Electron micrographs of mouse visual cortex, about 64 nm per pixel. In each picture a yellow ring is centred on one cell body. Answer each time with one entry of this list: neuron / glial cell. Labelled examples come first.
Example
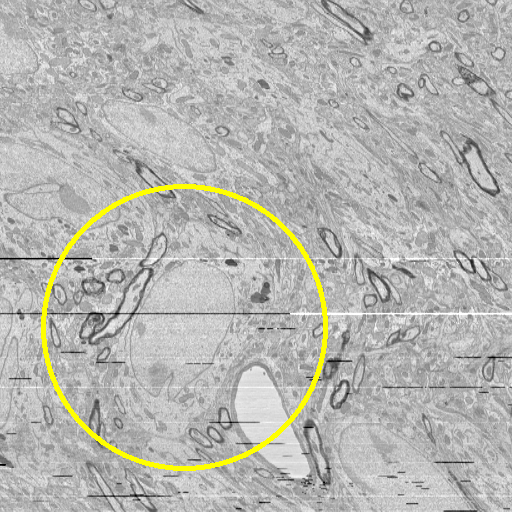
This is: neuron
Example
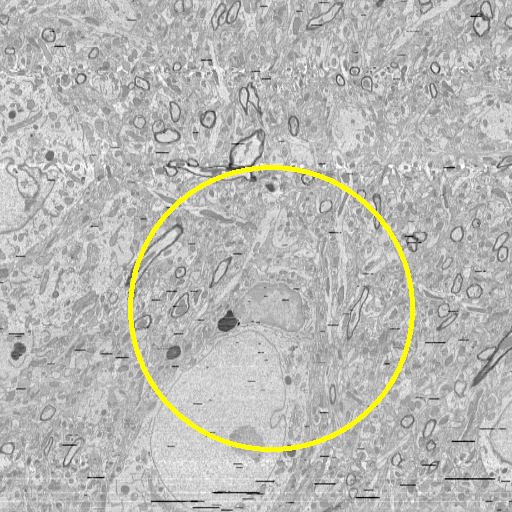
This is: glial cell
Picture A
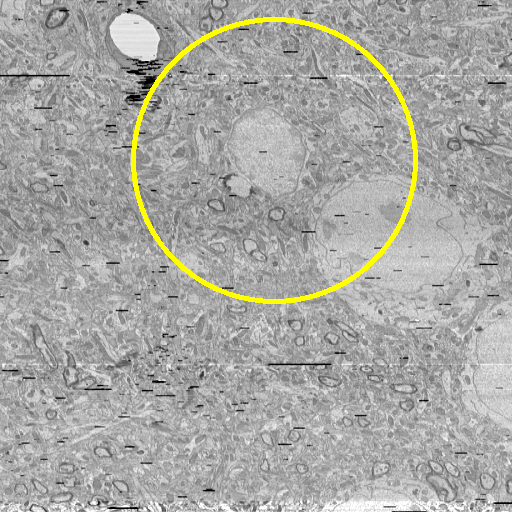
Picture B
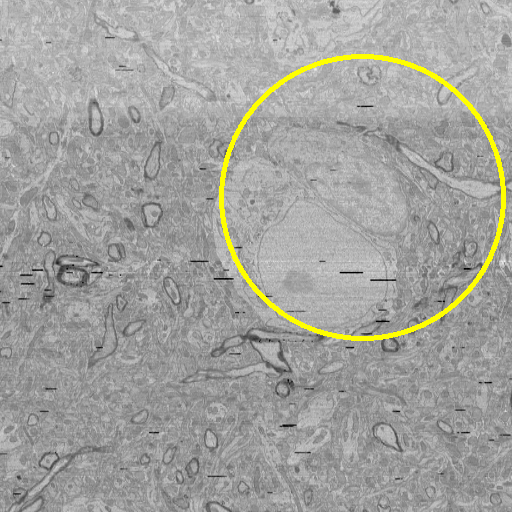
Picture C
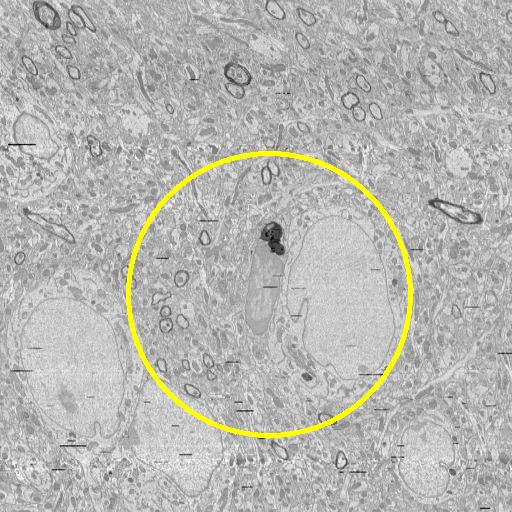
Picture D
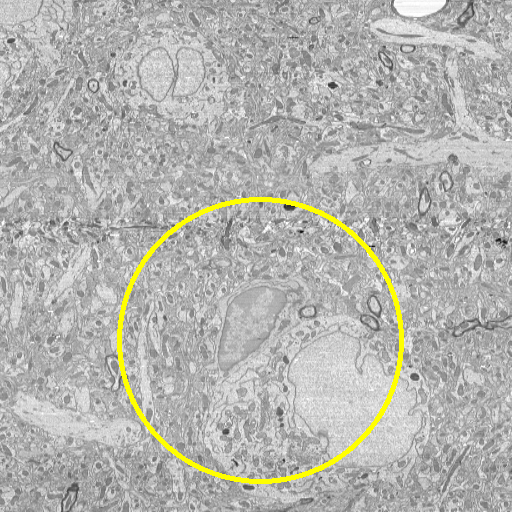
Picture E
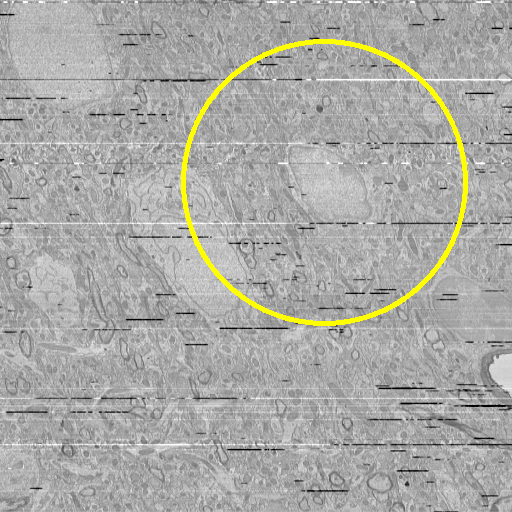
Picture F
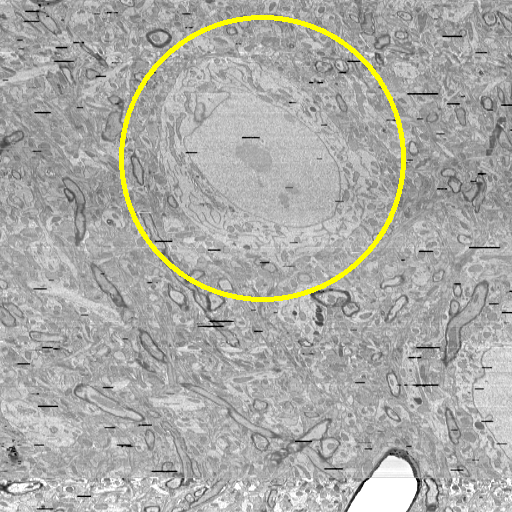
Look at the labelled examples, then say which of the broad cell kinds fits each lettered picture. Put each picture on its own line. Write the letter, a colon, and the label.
A: glial cell
B: glial cell
C: glial cell
D: glial cell
E: glial cell
F: neuron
